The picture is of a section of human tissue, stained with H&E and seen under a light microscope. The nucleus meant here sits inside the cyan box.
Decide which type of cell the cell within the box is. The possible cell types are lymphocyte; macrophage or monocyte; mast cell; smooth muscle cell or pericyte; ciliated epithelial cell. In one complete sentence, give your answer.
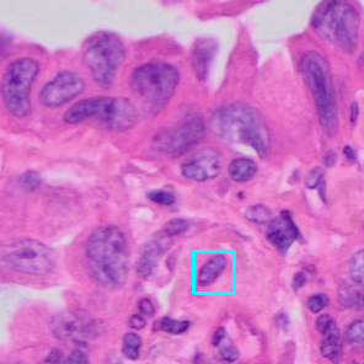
In short, the cell within the box on this section is a mast cell.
